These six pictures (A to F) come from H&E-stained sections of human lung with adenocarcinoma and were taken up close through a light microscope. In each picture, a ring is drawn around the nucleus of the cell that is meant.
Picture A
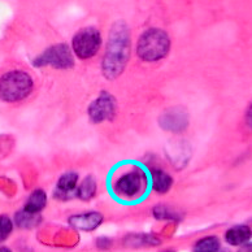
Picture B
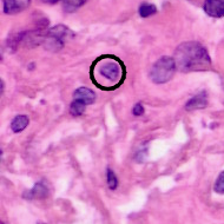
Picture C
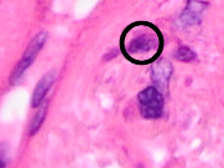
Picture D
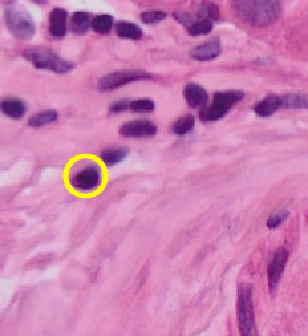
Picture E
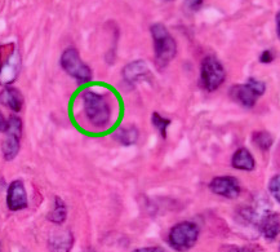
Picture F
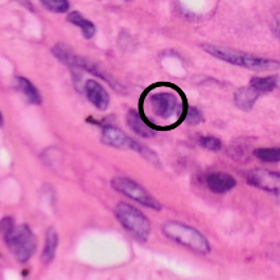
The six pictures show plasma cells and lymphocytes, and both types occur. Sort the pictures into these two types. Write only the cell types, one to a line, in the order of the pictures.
lymphocyte
lymphocyte
plasma cell
lymphocyte
plasma cell
lymphocyte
